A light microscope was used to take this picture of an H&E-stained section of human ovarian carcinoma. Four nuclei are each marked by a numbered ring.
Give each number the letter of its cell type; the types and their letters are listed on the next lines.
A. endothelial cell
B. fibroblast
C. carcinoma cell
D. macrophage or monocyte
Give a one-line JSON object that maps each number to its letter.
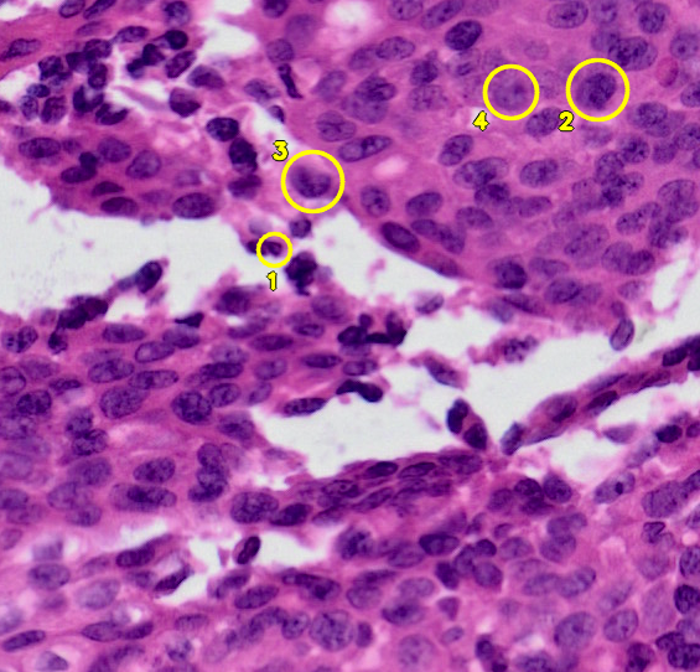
{"1": "D", "2": "C", "3": "C", "4": "C"}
